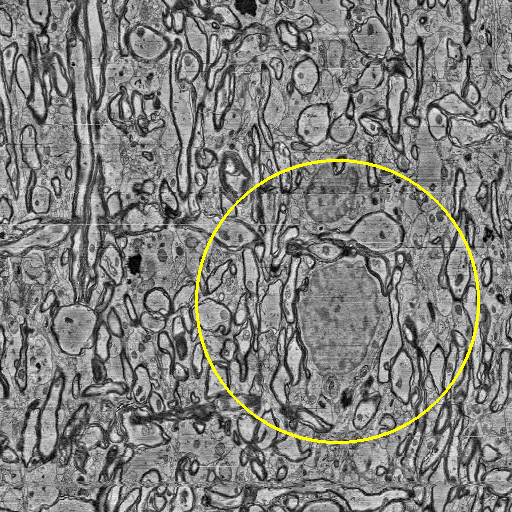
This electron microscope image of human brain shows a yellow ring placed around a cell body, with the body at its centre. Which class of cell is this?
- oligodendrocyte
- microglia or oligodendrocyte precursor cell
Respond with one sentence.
The cell body at the ring's centre is an oligodendrocyte.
